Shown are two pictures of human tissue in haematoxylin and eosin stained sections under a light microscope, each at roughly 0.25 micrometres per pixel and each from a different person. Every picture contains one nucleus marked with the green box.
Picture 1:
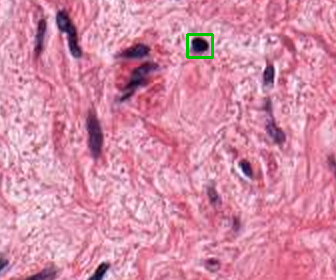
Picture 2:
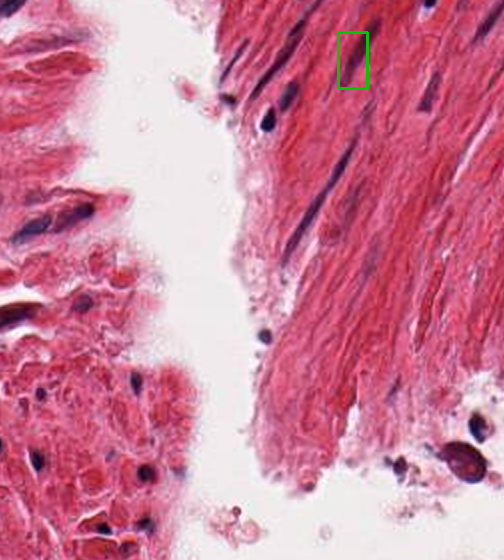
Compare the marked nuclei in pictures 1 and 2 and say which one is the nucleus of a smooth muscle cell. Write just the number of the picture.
2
